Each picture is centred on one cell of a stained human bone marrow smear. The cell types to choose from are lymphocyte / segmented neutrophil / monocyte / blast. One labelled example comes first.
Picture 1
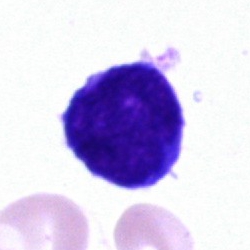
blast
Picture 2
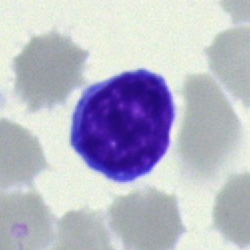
lymphocyte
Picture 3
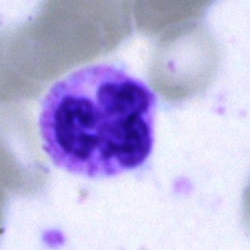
segmented neutrophil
